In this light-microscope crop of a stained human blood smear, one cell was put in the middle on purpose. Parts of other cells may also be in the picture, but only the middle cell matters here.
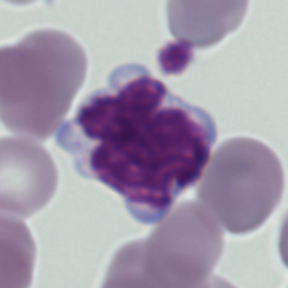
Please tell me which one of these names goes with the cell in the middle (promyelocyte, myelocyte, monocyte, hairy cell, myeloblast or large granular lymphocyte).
large granular lymphocyte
